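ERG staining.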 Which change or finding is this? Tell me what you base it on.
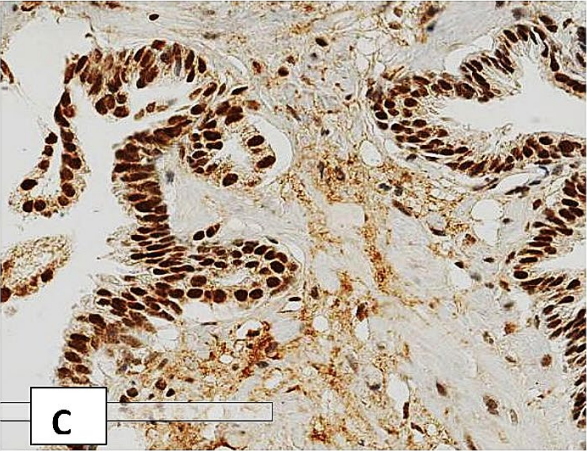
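Large glands with papillary infoldings keep their outline within the stroma. The lining cells are crowded and stratified with enlarged, elongated dark nuclei.
High-grade intraepithelial neoplastic glands.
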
